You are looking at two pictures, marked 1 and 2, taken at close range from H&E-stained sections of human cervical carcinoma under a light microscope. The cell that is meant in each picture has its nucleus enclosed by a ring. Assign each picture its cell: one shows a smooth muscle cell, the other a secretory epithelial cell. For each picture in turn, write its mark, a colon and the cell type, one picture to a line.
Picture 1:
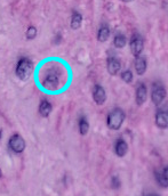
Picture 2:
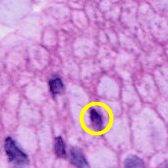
1: smooth muscle cell
2: secretory epithelial cell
